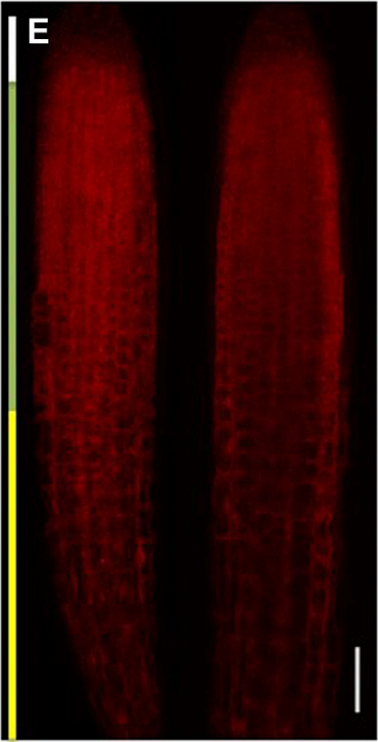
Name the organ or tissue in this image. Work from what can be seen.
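Two elongated cylindrical organs with rounded tips lie side by side. Each is built of files of small rectangular cells outlined in red. The tips are dome-shaped and narrow.
Answer: roots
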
